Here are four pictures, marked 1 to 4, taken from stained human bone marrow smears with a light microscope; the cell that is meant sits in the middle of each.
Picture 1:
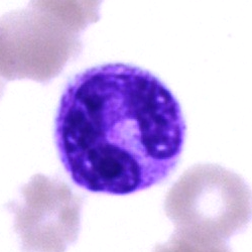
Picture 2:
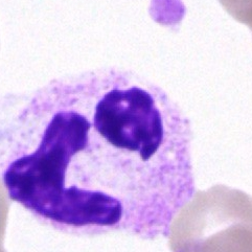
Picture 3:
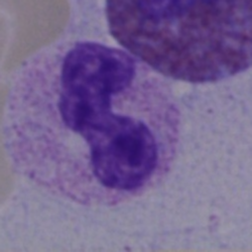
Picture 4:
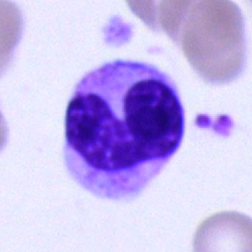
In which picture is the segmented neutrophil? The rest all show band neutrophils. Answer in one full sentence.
Picture 2 is the one that shows the segmented neutrophil.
